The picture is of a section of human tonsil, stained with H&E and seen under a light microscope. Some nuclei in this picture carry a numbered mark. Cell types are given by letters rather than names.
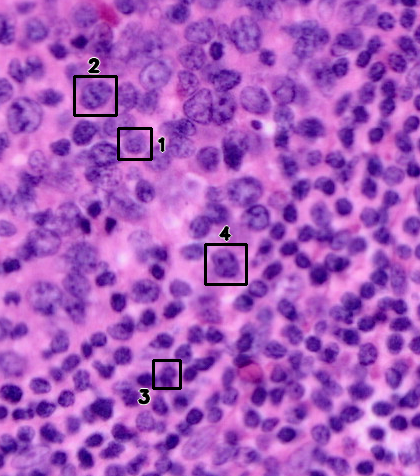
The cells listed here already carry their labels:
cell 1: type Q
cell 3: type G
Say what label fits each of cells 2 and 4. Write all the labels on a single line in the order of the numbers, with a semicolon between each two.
type Q; type Q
